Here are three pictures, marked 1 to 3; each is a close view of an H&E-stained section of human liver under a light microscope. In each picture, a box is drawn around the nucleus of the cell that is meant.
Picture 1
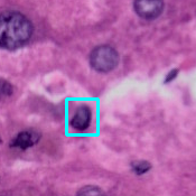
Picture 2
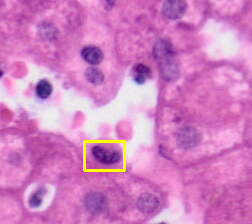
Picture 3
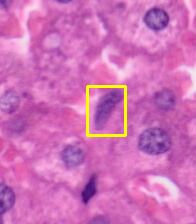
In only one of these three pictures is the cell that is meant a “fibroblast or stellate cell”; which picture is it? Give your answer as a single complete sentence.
The “fibroblast or stellate cell” is the one in picture 1.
